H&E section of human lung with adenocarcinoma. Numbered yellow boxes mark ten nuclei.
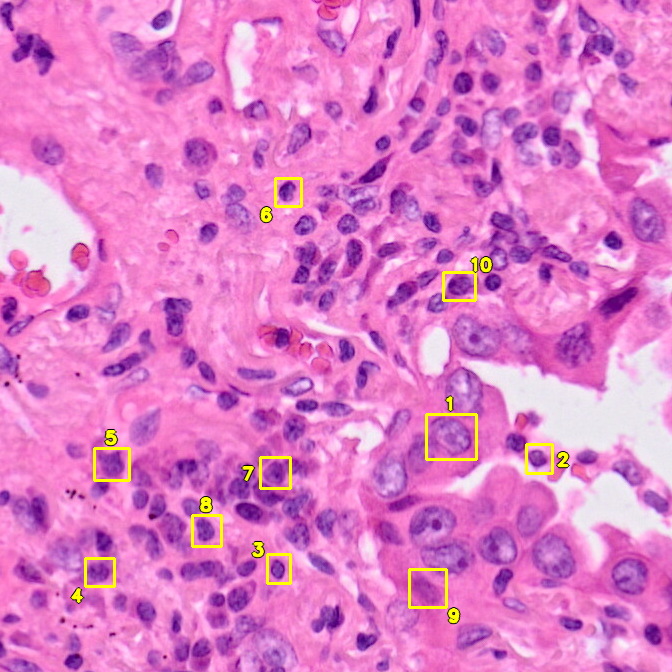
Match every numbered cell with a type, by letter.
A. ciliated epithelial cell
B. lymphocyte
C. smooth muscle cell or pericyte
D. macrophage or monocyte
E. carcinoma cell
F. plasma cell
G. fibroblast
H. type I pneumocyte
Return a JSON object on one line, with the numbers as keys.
{"1": "E", "2": "B", "3": "B", "4": "F", "5": "F", "6": "B", "7": "B", "8": "B", "9": "E", "10": "F"}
